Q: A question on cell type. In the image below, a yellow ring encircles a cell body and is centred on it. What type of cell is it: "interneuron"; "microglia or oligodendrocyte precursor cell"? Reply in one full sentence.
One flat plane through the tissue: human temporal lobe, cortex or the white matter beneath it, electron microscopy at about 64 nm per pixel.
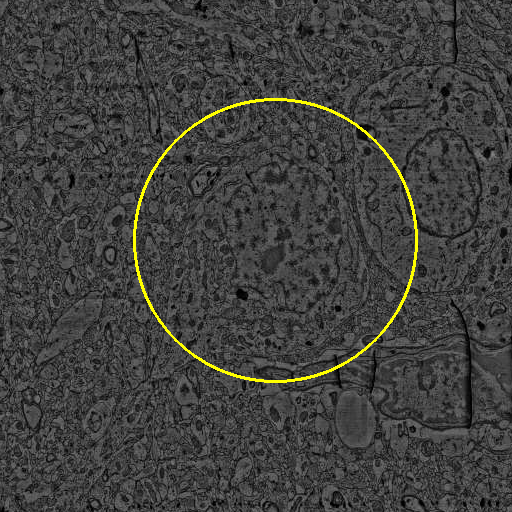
It is an interneuron whose cell body sits at the centre of the yellow ring in the image.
